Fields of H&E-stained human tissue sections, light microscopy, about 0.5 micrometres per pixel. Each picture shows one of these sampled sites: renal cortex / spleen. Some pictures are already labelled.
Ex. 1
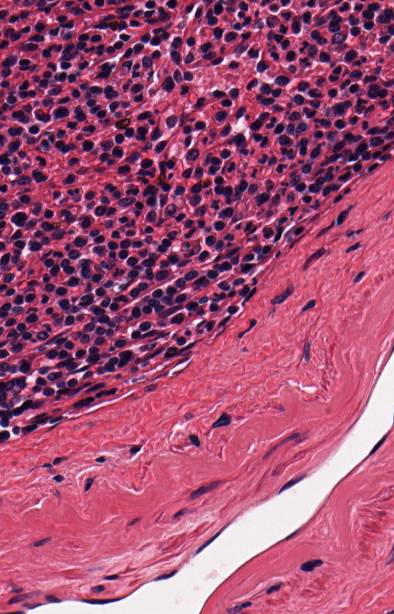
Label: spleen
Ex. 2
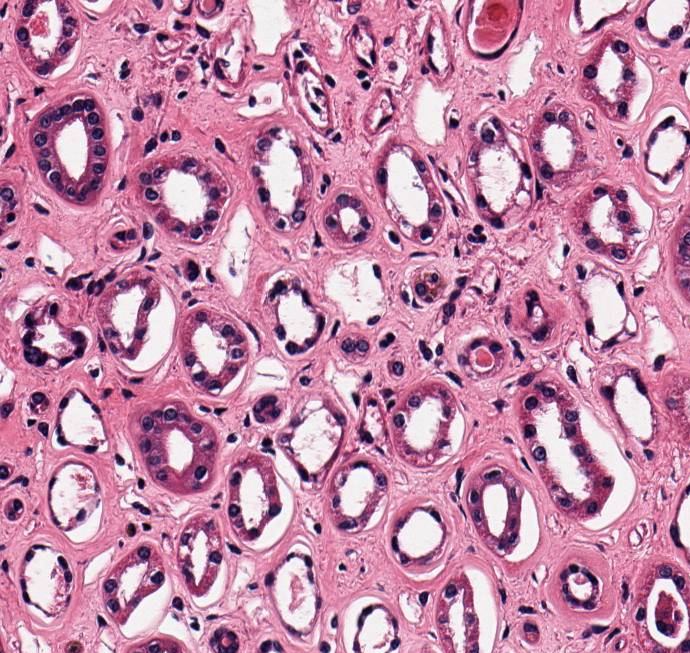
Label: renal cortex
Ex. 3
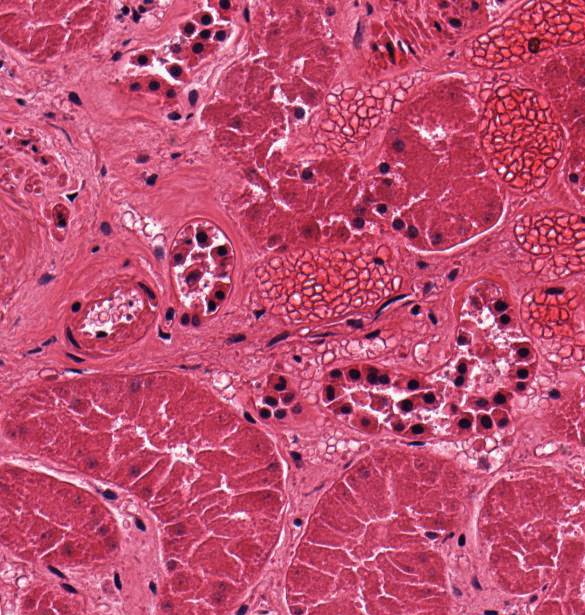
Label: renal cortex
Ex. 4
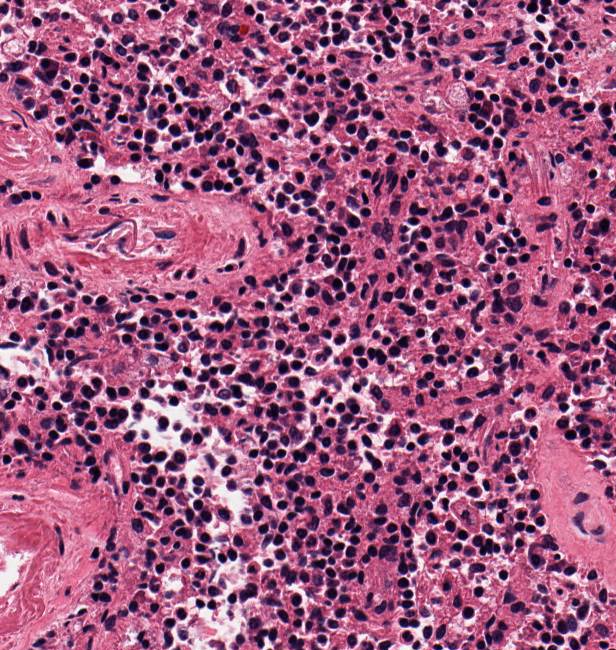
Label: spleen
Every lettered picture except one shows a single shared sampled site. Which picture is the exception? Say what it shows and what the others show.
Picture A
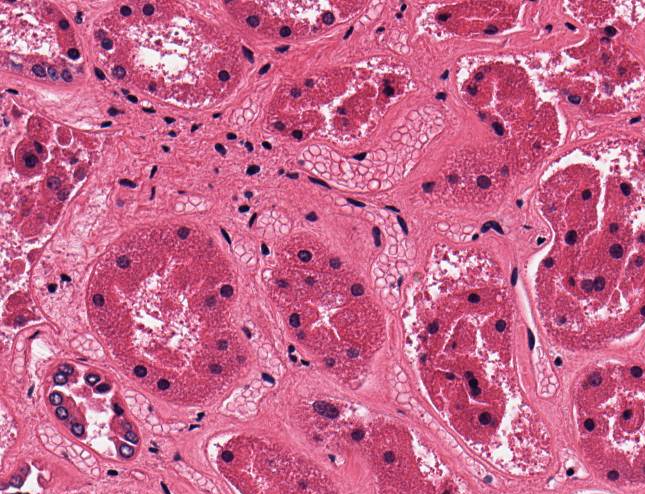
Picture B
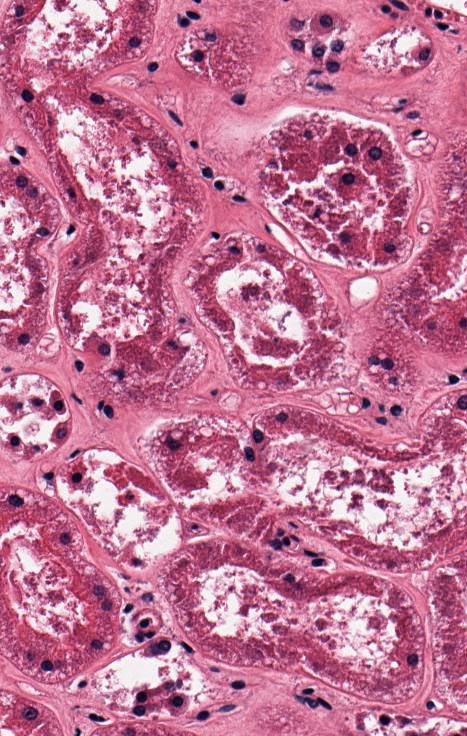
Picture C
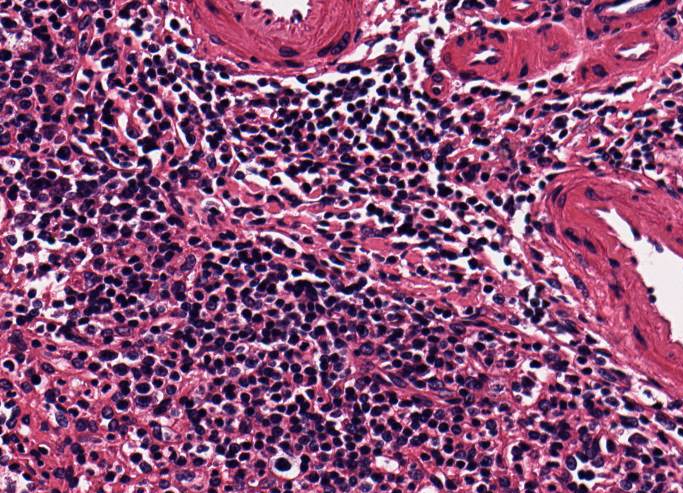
Exception: C, showing spleen. Remaining pictures: renal cortex.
